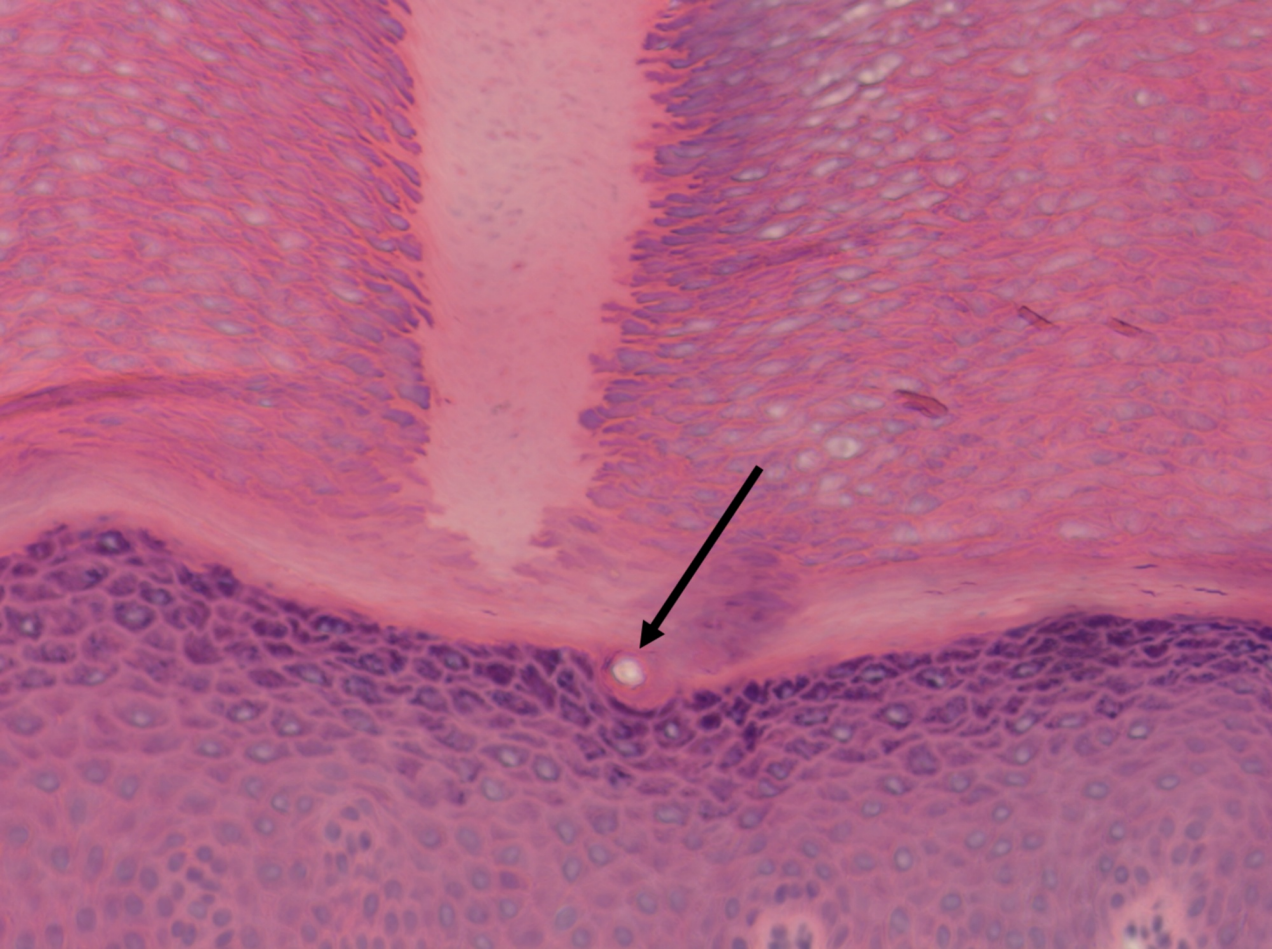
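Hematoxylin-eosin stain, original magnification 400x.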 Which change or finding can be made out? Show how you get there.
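A vertical column of pale pink compact keratin rises through the thickened cornified layer. The column's base sits on the epidermal surface. The epidermis beneath the column is not folded inward into a pit. That points to this answer: Spine.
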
